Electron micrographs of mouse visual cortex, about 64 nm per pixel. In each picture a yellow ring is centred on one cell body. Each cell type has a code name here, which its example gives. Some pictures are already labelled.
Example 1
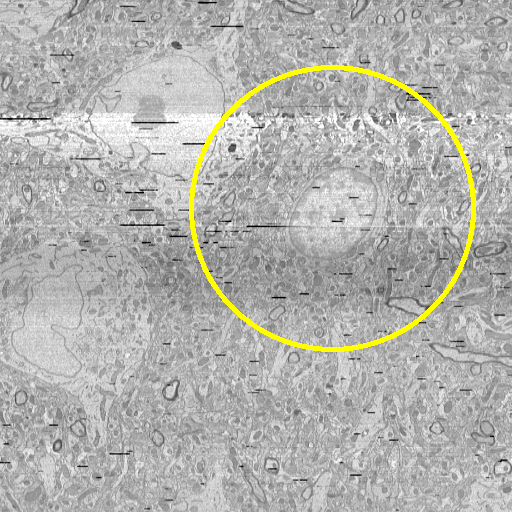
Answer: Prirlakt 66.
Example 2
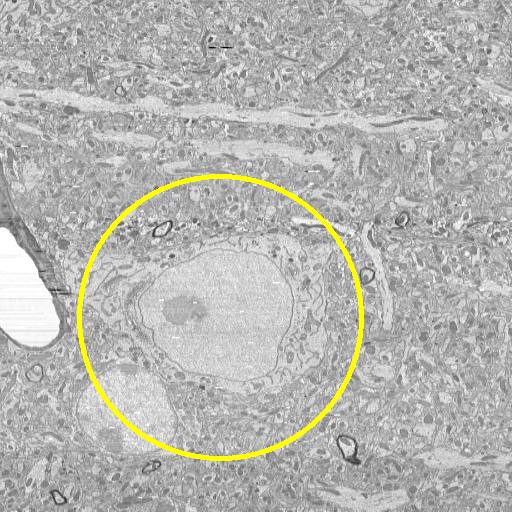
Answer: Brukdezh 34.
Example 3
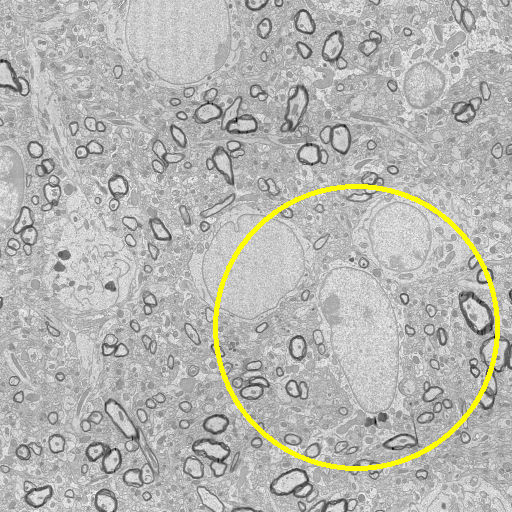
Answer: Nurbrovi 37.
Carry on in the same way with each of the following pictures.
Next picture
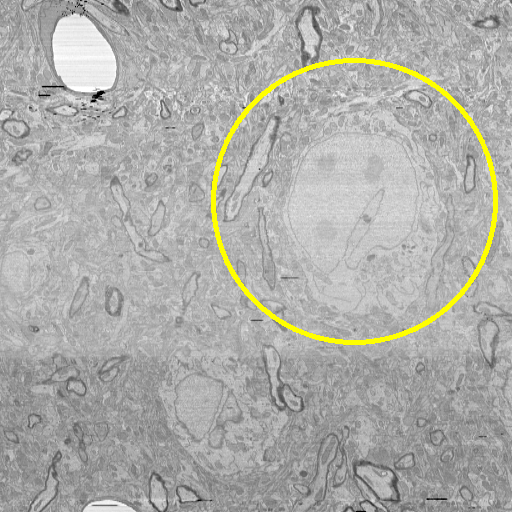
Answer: Brukdezh 34.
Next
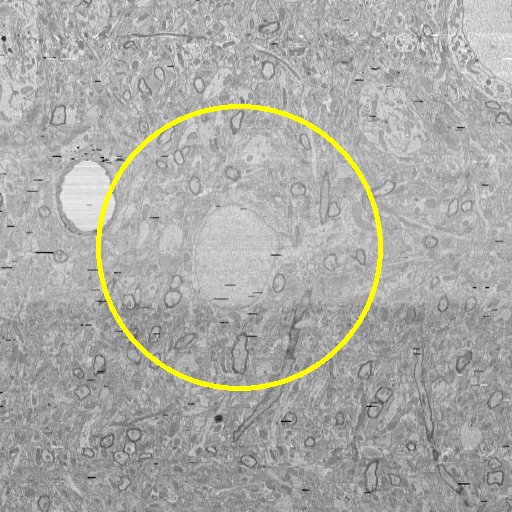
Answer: Nurbrovi 37.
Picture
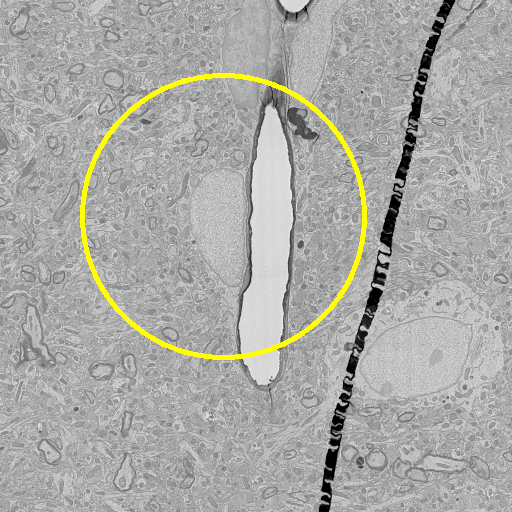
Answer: Nurbrovi 37.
